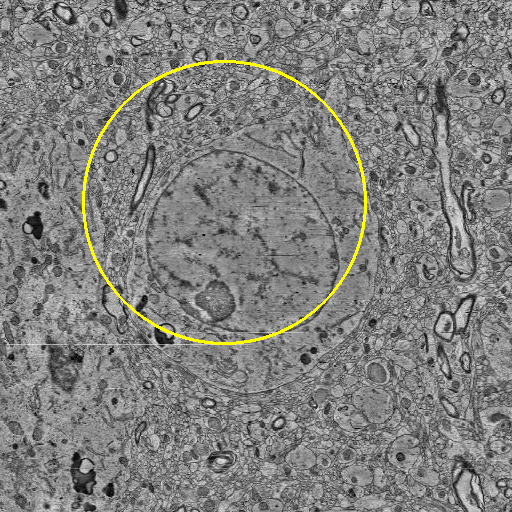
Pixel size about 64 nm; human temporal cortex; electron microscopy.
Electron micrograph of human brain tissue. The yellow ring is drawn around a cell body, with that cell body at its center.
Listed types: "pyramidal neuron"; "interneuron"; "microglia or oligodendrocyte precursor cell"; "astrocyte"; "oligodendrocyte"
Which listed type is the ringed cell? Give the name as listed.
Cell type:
pyramidal neuron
